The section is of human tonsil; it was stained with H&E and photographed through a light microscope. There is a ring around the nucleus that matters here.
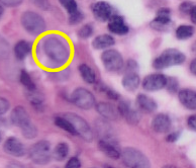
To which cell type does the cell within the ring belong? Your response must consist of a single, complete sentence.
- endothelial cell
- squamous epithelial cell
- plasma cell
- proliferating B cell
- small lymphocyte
Right, so the cell within the ring is an endothelial cell, to answer that.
